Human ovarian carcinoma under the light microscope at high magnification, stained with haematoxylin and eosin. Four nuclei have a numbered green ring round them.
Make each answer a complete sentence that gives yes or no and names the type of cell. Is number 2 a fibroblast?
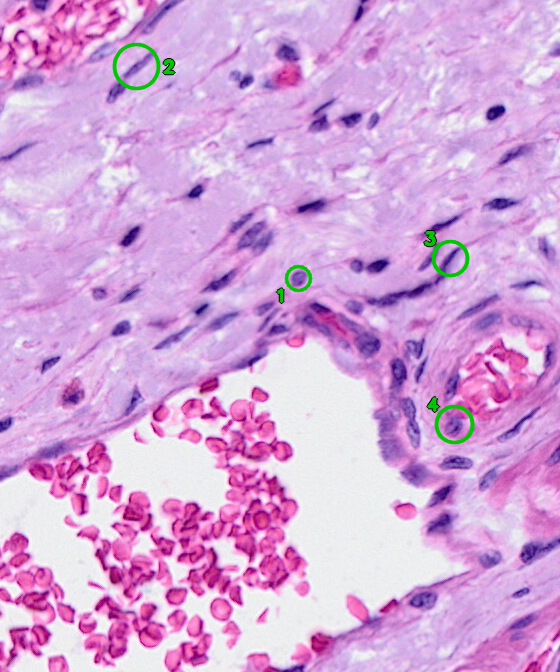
Yes, the cell marked with number 2 is a fibroblast.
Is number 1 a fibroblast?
No, for cell 1, the correct identification is a lymphocyte instead of a fibroblast.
